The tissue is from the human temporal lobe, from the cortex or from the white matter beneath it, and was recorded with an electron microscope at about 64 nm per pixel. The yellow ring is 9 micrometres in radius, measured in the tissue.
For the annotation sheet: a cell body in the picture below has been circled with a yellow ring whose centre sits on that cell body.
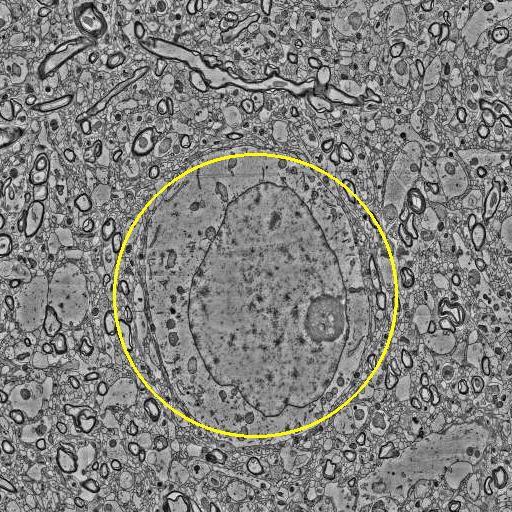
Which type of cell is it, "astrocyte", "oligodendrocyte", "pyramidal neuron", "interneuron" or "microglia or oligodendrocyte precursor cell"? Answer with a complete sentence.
The circled cell is a pyramidal neuron.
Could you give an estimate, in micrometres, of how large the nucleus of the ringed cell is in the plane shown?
In this plane, the nucleus is roughly 15 by 10 micrometres.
